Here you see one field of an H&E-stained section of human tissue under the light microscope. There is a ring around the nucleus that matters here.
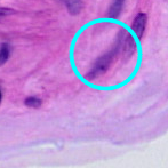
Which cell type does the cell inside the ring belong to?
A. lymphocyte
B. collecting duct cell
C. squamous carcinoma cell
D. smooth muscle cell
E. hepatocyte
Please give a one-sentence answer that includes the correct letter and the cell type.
It is correct to say that the cell inside the ring is a smooth muscle cell, as option D does.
